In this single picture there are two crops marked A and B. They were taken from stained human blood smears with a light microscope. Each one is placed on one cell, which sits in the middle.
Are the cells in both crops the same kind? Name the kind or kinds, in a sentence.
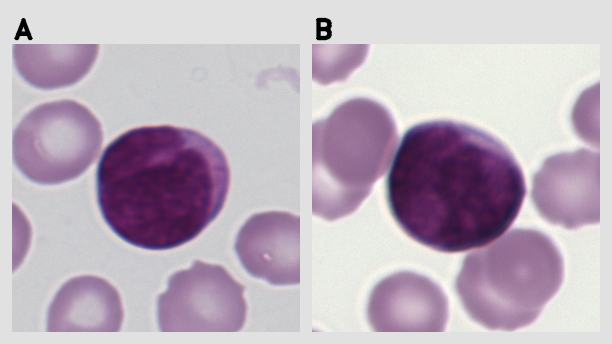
Yes, it is blasts that both crops show.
